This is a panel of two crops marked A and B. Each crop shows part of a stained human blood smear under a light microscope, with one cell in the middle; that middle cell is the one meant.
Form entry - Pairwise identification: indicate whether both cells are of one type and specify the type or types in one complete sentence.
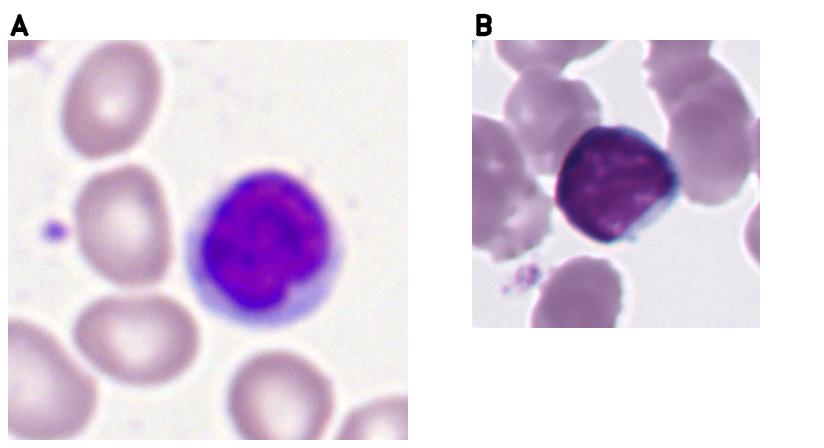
Yes, the cells that the two crops centre on are lymphocytes.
